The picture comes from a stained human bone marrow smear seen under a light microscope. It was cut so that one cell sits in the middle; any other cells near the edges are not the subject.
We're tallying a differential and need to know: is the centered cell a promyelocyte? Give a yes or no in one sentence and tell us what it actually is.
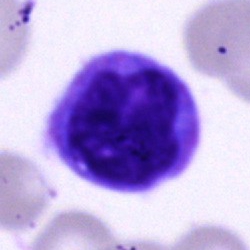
No, what sits in the centre of the crop is a monocyte rather than a promyelocyte.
